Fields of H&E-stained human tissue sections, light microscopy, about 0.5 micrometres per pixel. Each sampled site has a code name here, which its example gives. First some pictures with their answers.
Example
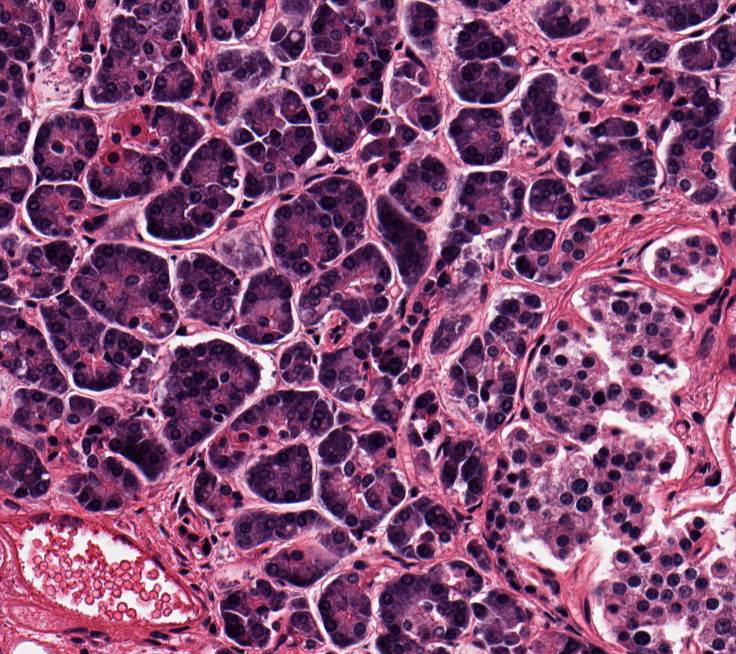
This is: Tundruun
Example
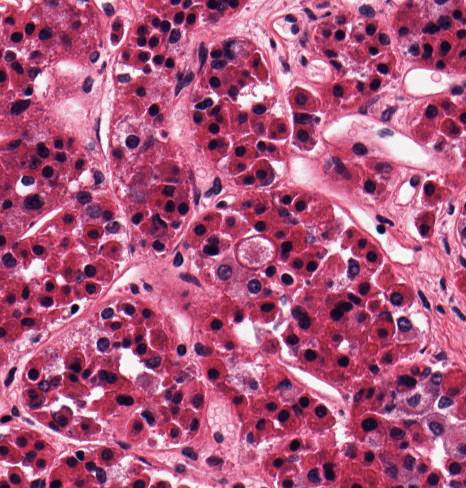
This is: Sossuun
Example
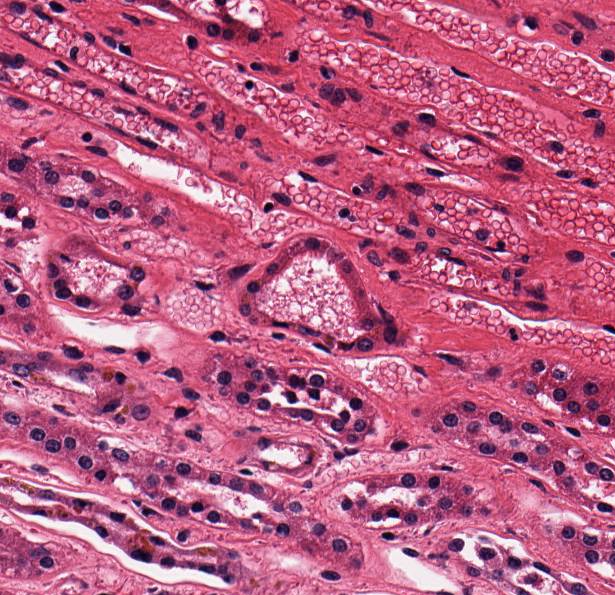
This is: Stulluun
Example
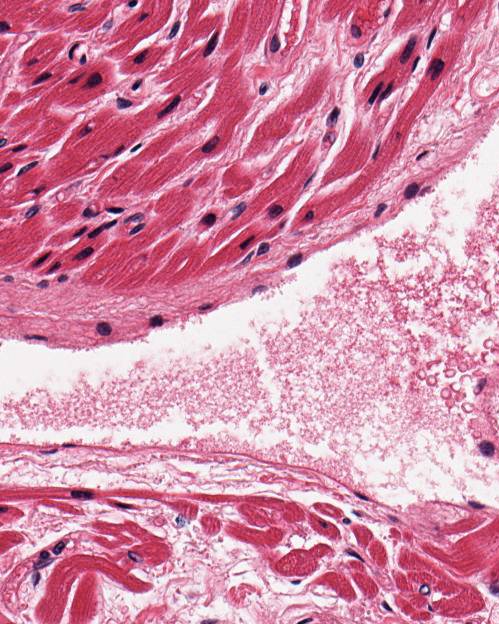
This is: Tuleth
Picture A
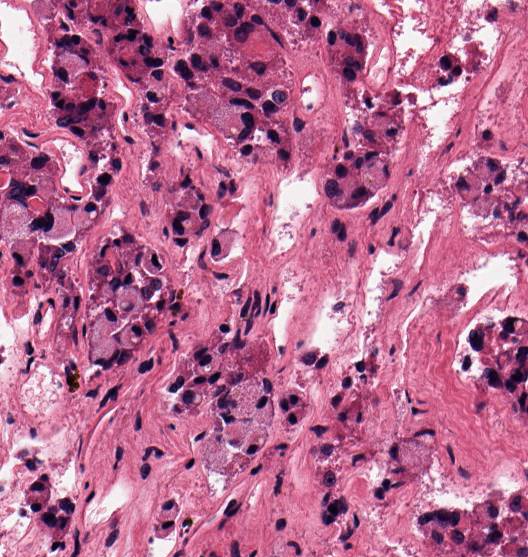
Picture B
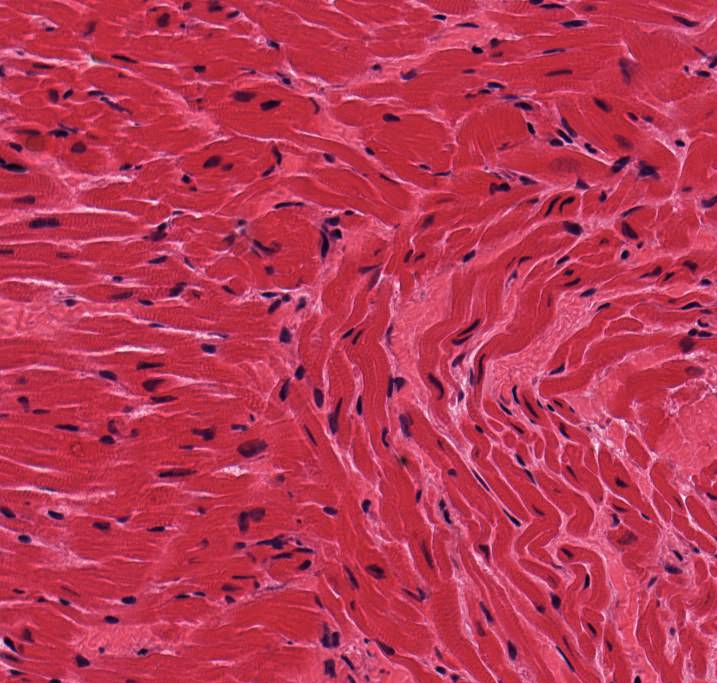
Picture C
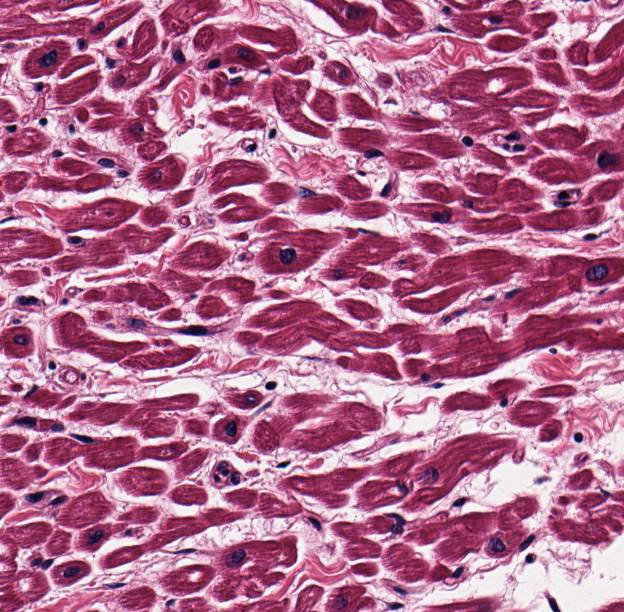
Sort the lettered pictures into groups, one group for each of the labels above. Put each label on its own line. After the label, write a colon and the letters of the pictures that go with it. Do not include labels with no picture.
Sossuun: A
Tuleth: B, C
